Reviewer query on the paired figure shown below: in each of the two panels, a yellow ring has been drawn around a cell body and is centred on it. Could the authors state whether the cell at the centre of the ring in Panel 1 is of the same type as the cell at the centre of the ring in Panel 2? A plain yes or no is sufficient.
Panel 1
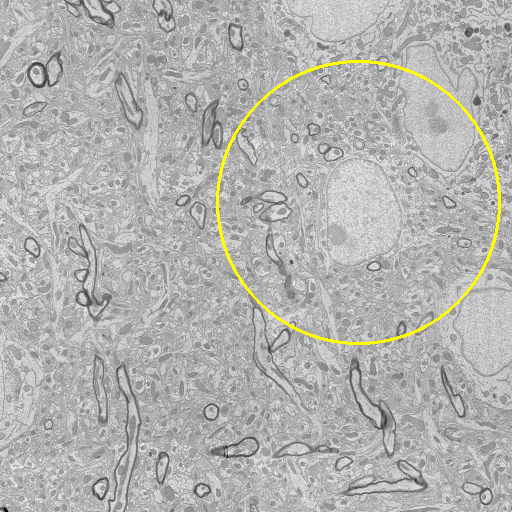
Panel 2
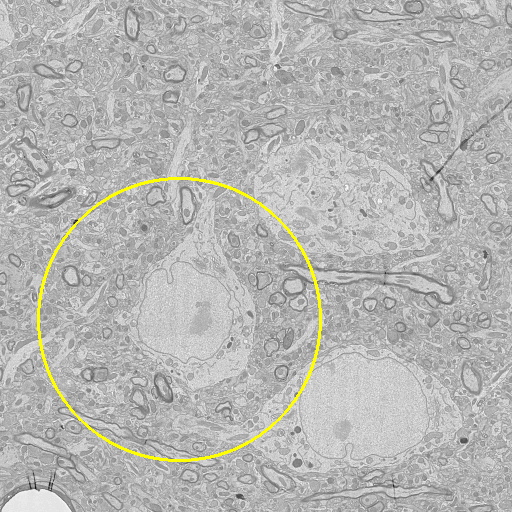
no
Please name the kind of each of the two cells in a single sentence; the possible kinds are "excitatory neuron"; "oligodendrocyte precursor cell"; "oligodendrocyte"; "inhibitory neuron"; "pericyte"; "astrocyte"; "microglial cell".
In the first picture the ring is centred on an astrocyte, and in the second on an excitatory neuron.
